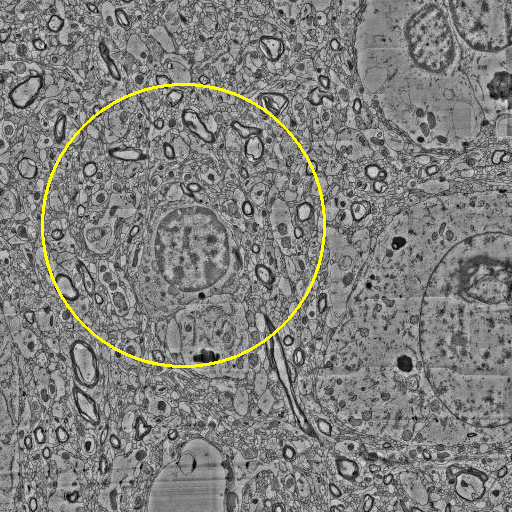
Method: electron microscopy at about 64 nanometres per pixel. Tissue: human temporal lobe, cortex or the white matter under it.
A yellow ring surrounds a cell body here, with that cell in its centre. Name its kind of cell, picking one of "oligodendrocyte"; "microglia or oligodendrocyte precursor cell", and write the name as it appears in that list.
oligodendrocyte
